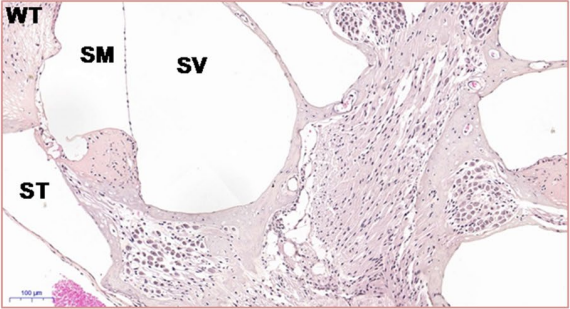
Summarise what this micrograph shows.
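This is a section through the cochlea showing its large fluid-filled chambers separated by a very thin membrane, with the bony core of the cochlea beside them. Set into the bone next to the chambers are clusters of spiral ganglion neurons in Rosenthal’s canal: rounded cell bodies, pale pink, each with a round nucleus, packed closely together. Bundles of pink nerve fibres run from these clusters through the bony core. The surrounding bone and connective tissue stain pink, and the chambers themselves are empty white spaces.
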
